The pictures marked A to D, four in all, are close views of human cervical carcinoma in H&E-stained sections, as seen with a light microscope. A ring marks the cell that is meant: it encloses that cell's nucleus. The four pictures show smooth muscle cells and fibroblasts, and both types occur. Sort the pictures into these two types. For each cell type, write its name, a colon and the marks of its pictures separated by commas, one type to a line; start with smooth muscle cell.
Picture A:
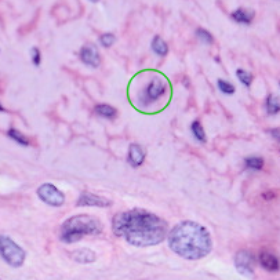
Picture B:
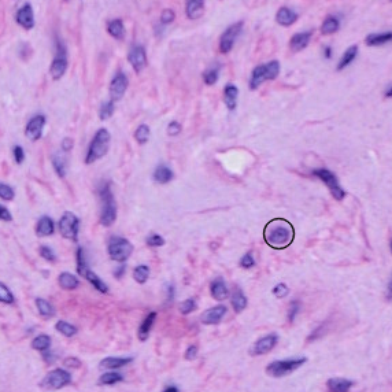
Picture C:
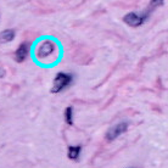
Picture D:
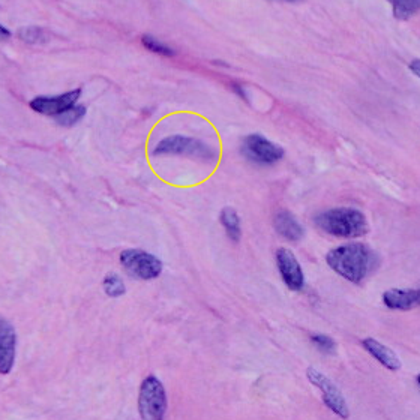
smooth muscle cell: A, B, C
fibroblast: D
